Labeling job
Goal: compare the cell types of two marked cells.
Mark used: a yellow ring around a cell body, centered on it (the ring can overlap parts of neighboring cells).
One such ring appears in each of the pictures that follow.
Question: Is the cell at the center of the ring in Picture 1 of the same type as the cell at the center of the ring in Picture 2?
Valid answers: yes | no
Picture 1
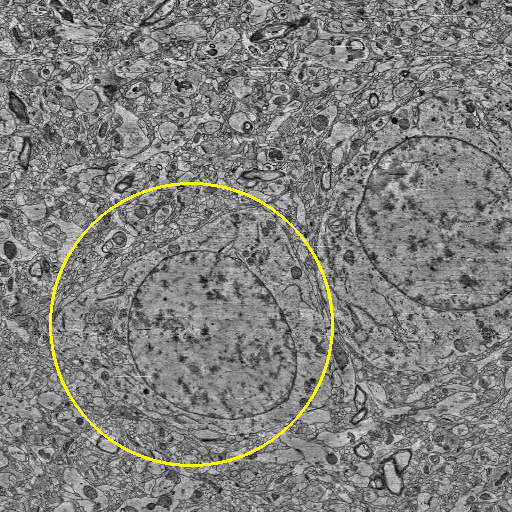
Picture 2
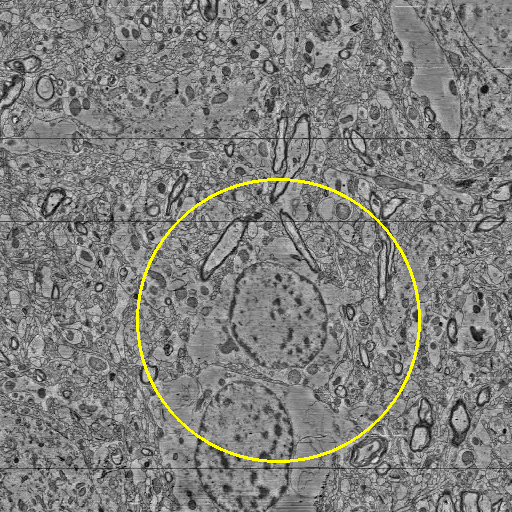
no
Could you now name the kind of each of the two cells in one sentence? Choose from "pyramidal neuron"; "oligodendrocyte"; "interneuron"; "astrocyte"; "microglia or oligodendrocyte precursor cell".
The first ring encloses a pyramidal neuron; the second ring encloses an astrocyte.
